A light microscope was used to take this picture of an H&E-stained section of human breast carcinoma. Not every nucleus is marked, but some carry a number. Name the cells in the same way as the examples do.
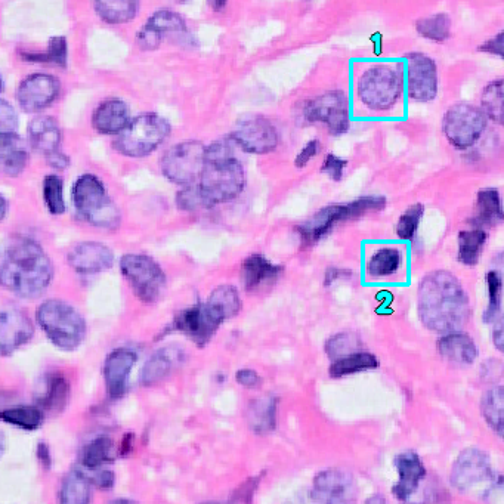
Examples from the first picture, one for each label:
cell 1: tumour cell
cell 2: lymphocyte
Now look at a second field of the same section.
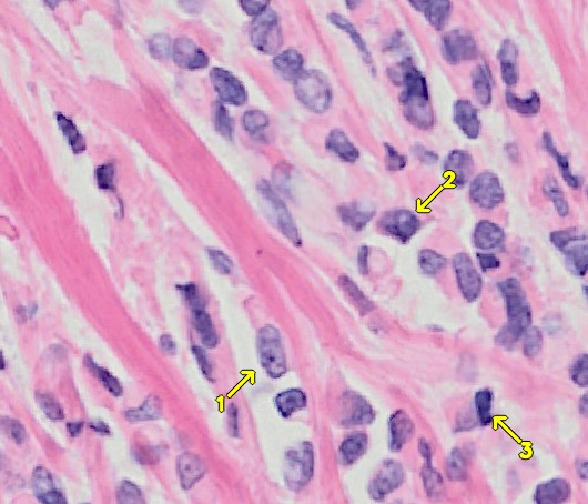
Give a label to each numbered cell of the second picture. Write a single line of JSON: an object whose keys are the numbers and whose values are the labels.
{"1": "tumour cell", "2": "tumour cell", "3": "lymphocyte"}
